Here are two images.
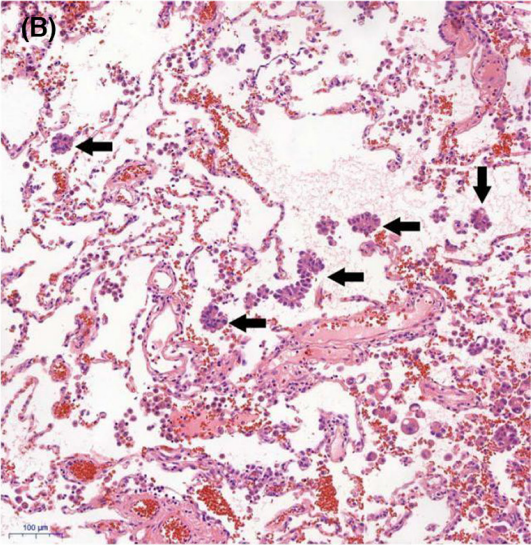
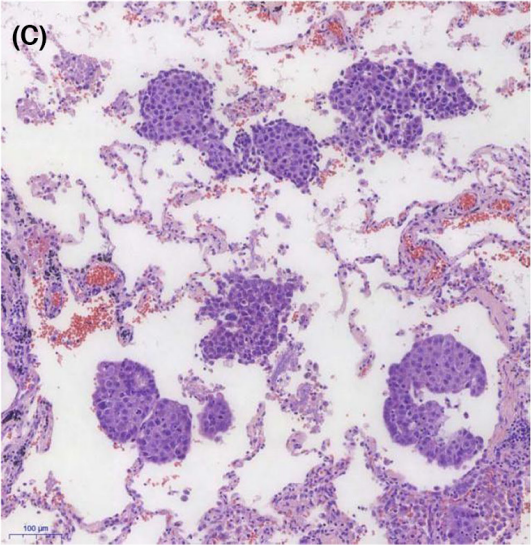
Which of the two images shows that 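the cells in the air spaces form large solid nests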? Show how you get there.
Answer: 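Second image: large, compact, crowded cell nests fill air spaces. First image: only small rounded clusters of a few cells lie in air spaces. So: the second image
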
